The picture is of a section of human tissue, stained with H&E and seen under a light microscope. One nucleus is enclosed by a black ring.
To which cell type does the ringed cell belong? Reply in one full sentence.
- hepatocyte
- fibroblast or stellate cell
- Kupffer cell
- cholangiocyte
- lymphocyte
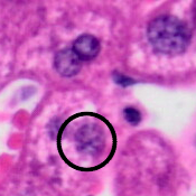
Cell type answer for this item: the ringed cell is a hepatocyte.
